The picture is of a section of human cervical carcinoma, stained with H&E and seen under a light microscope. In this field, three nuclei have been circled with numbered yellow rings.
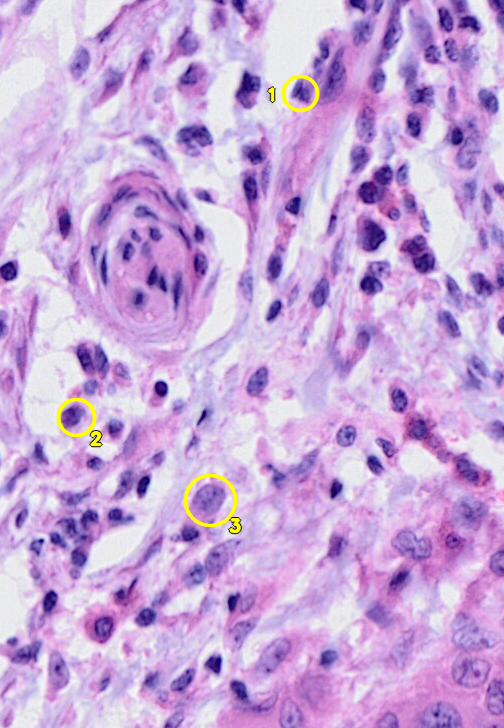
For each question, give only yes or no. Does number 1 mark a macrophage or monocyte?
no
